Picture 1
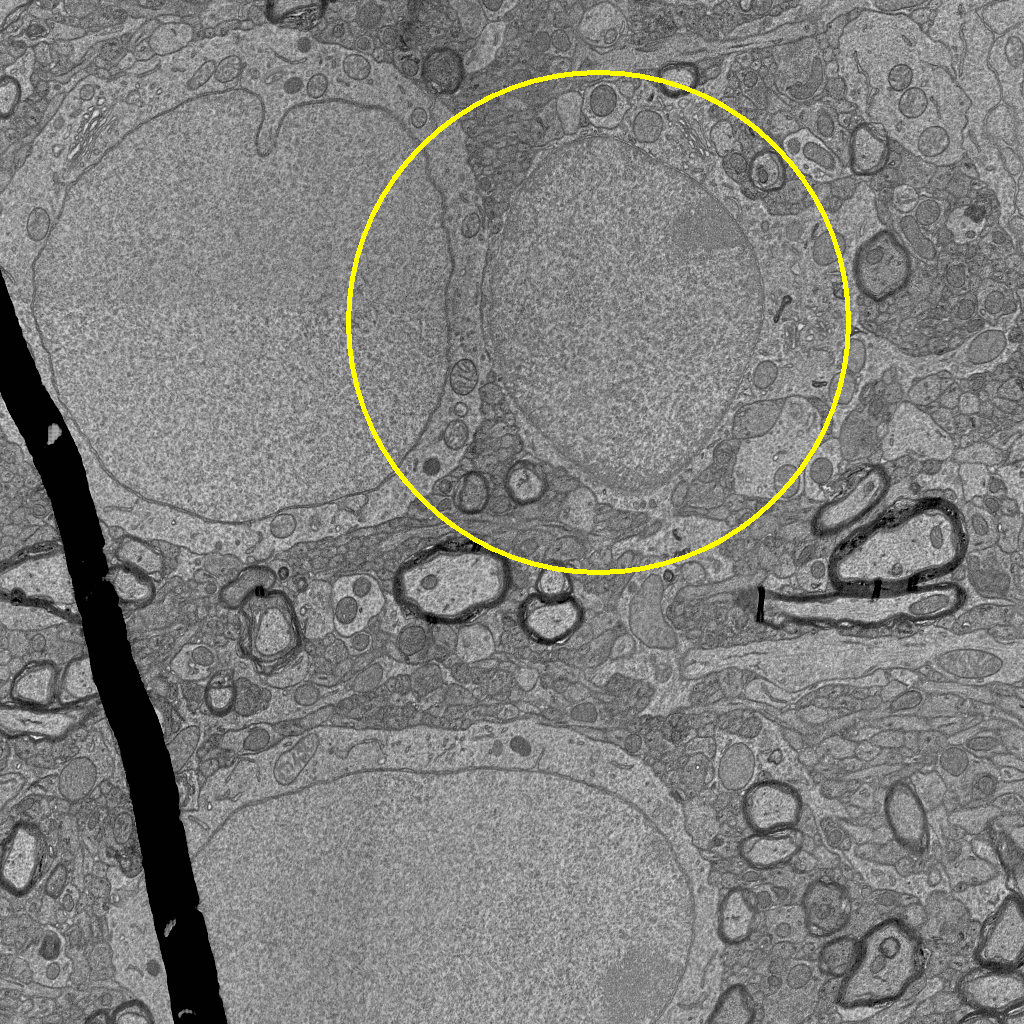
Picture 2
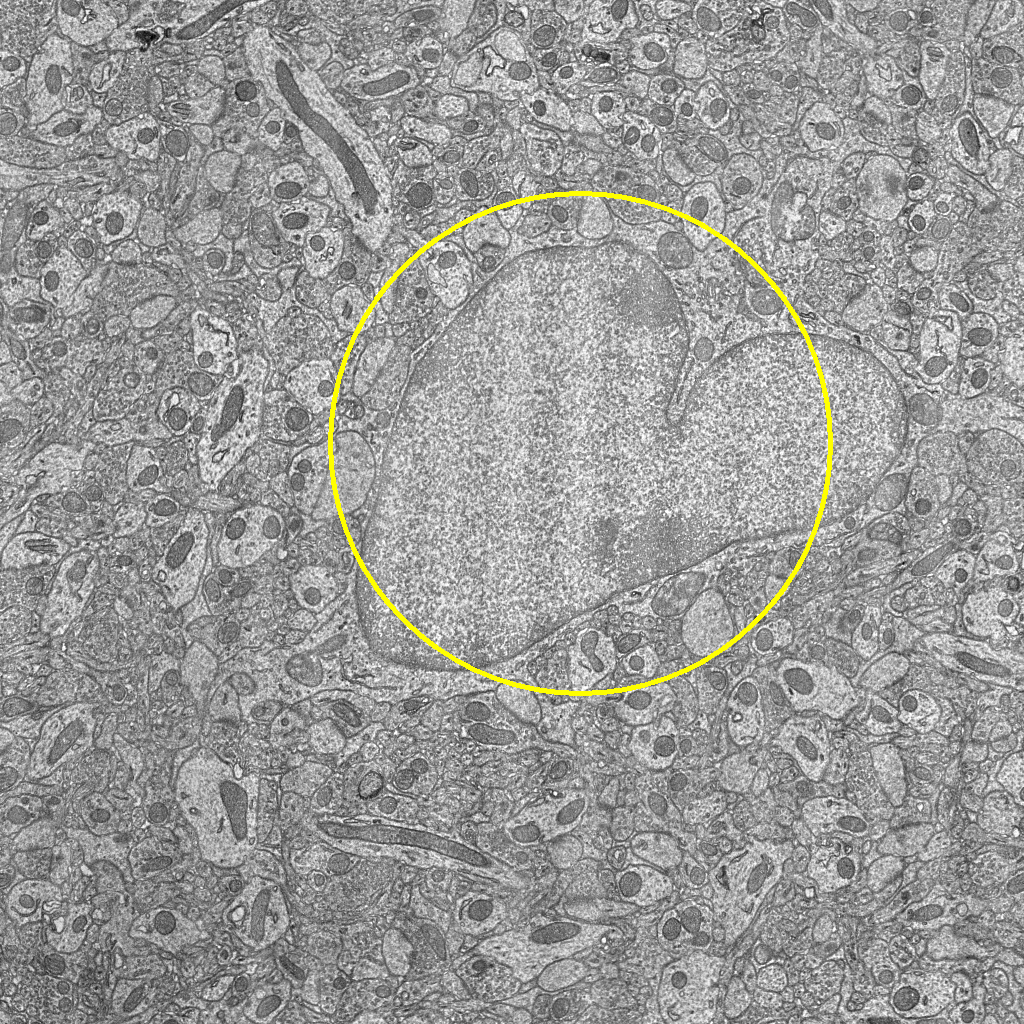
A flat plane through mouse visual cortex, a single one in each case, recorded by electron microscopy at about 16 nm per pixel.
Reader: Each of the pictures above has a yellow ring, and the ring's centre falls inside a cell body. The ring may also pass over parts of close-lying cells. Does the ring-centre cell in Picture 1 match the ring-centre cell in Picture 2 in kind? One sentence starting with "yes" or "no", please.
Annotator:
Yes, Picture 1 and Picture 2 show ring-centre cells of a single kind.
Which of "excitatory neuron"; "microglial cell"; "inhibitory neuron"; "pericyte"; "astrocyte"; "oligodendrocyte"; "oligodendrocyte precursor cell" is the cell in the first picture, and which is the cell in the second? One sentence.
Each cell at the centre of a ring is an astrocyte.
